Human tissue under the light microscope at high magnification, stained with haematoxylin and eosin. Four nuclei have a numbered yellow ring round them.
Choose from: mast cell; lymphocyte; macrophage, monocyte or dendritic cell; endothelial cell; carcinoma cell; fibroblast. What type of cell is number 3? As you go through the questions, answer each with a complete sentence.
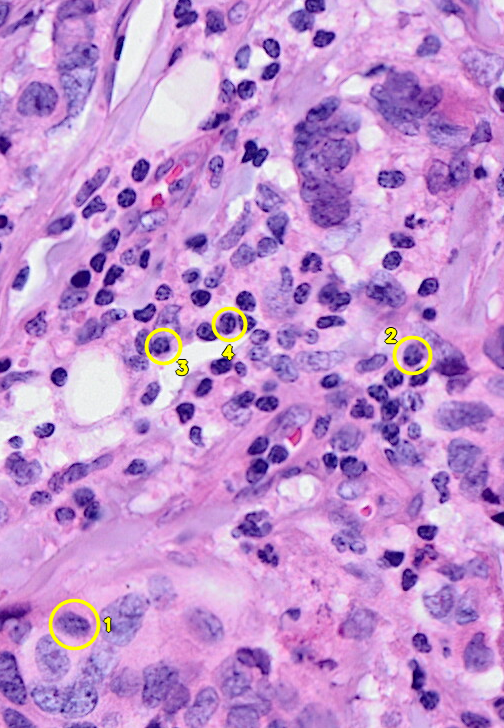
Cell 3 in the field is a lymphocyte.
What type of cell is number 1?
Identified as a carcinoma cell is the cell bearing the number 1.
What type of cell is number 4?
The expected answer is that cell 4 is a lymphocyte.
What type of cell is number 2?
The cell tagged with 2 in this tissue section is a lymphocyte.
